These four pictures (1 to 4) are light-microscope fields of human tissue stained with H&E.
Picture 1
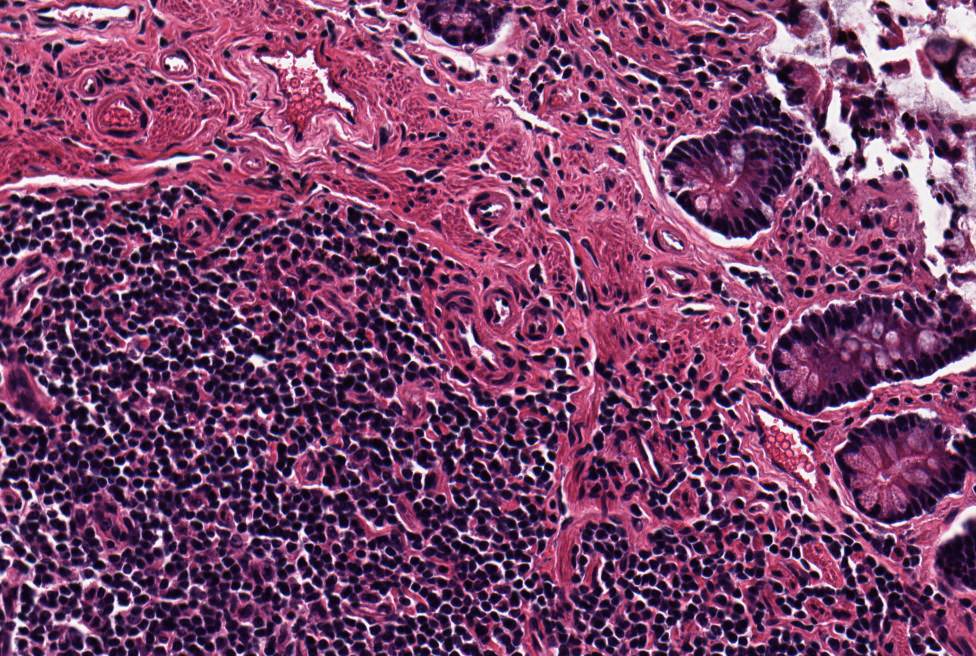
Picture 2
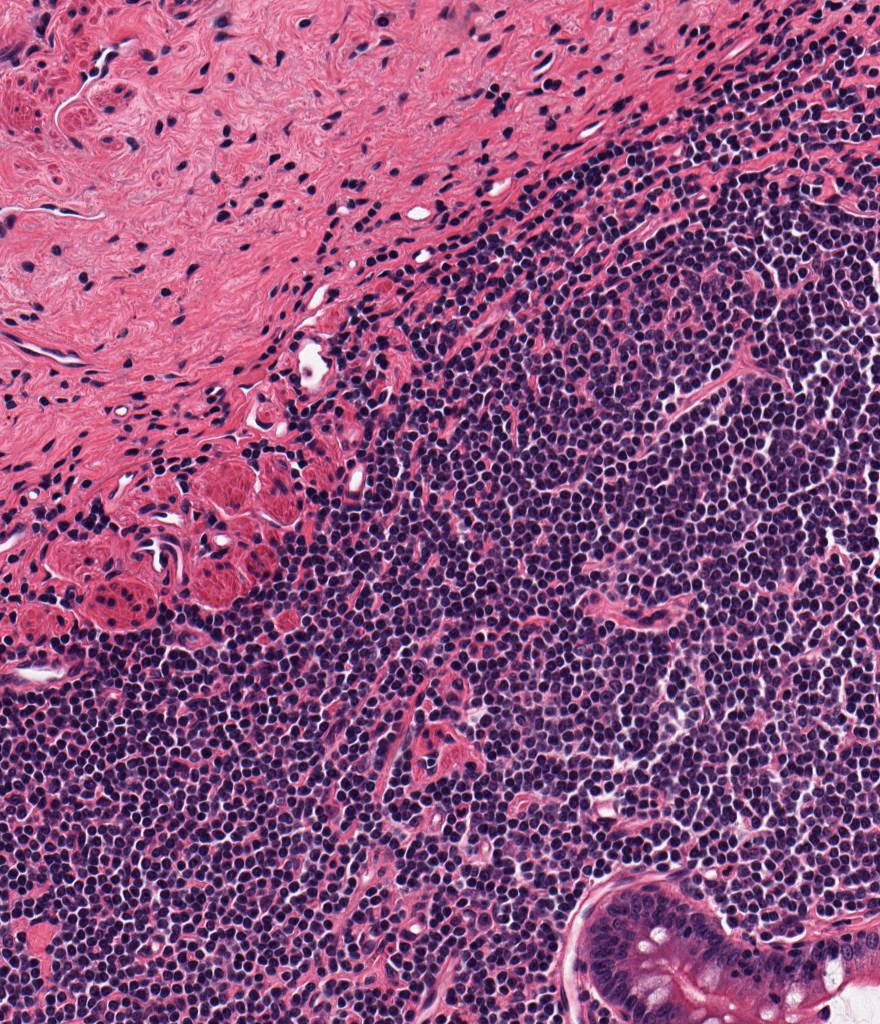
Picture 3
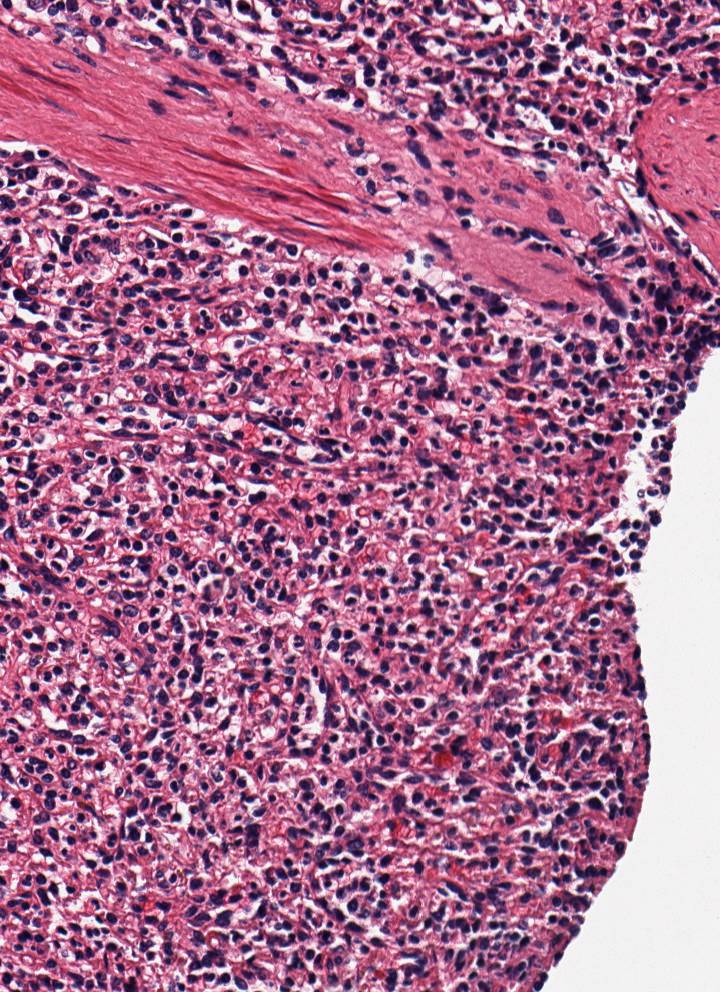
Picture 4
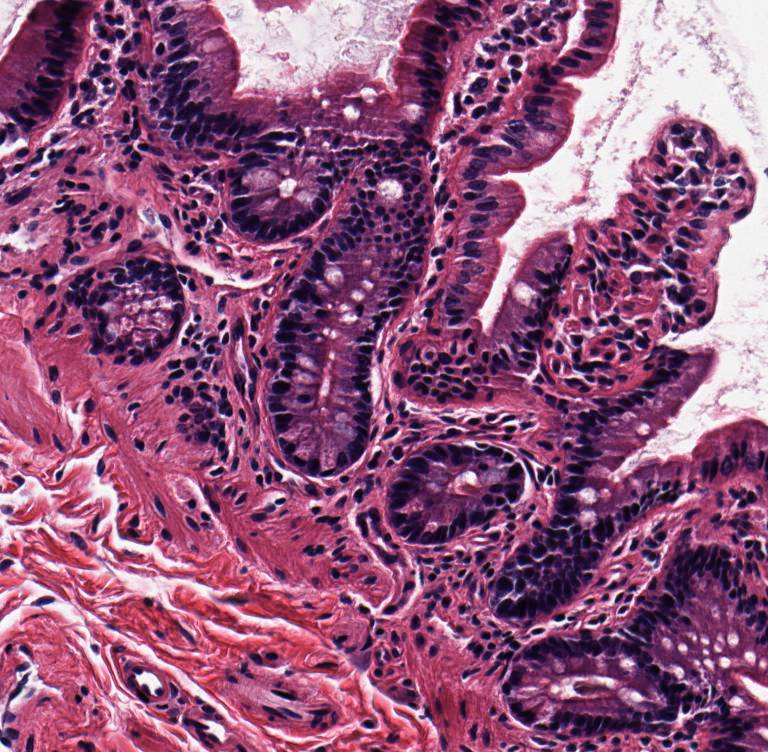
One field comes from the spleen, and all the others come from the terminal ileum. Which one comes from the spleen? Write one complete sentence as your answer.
Picture 3 comes from the spleen.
